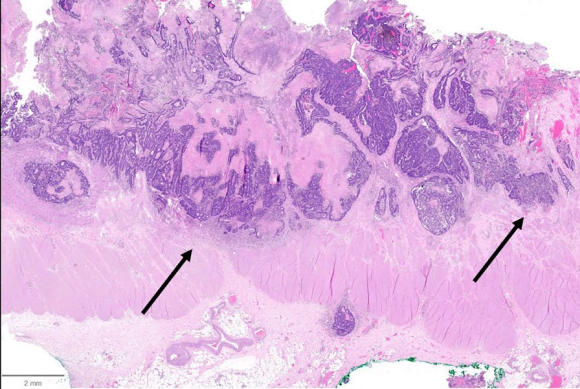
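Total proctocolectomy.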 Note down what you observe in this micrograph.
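A low-power section of colonic wall is largely replaced in its upper half by crowded purple nodules of gland-forming adenocarcinoma. The tumor nests push down into the thick pink bundles of the muscle layer, and a few isolated tumor nests lie deeper in the wall near the pale outer connective tissue.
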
